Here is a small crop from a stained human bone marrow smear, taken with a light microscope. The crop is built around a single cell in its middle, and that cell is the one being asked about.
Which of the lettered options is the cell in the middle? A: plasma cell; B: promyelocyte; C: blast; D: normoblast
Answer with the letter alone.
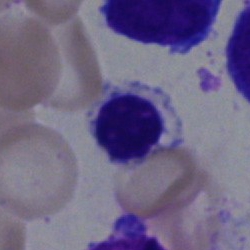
D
